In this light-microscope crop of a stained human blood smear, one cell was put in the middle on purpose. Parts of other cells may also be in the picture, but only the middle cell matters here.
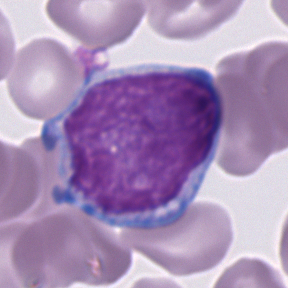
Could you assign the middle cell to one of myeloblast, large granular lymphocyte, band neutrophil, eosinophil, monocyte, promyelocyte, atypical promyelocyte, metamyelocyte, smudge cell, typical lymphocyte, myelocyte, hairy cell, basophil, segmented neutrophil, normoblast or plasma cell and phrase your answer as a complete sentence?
The cell at the middle of the frame should be recorded as a myeloblast.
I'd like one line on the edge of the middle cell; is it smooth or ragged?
The boundary of the cell runs irregularly, ragged in parts or drawn into projections.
